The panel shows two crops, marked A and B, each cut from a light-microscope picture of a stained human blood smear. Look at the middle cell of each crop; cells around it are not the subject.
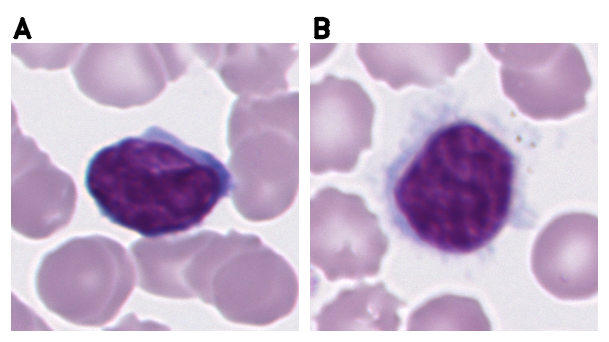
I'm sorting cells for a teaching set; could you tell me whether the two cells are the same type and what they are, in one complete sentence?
No, crop A carries a typical lymphocyte at its centre, and crop B carries a hairy cell.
